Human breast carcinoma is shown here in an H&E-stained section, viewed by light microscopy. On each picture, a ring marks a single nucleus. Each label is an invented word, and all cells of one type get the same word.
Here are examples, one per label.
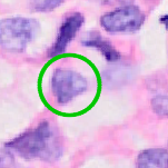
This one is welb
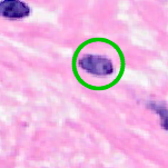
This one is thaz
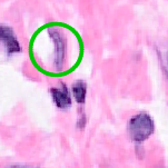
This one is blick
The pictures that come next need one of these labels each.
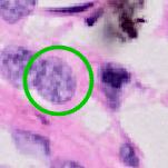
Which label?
welb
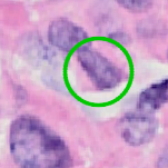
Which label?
welb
